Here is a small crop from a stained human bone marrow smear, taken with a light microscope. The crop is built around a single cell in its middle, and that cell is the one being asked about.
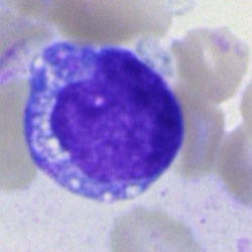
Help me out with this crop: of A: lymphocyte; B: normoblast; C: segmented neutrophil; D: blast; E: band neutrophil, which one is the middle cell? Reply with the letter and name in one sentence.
This one is option D, since the cell at the center is a blast.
